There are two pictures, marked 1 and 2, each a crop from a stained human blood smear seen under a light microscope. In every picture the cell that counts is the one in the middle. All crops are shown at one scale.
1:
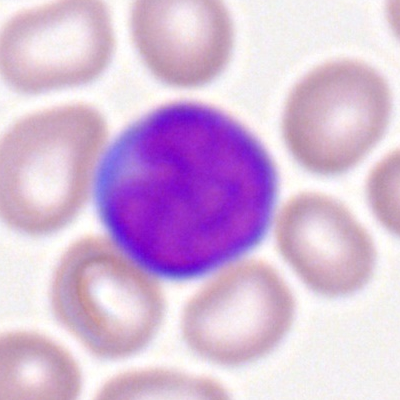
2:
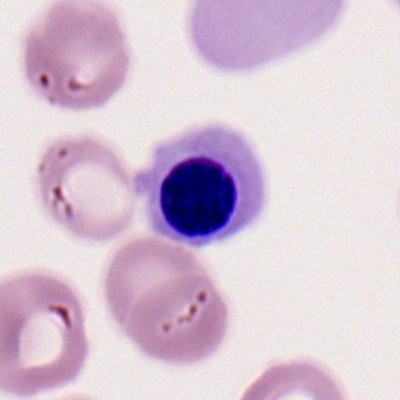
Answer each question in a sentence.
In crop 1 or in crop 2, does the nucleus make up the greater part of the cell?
Of the two, the nucleus in crop 1 makes up the greater part of its cell.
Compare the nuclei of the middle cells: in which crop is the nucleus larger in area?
The nucleus in crop 1 is larger, with about 4 times the area of the one in crop 2.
